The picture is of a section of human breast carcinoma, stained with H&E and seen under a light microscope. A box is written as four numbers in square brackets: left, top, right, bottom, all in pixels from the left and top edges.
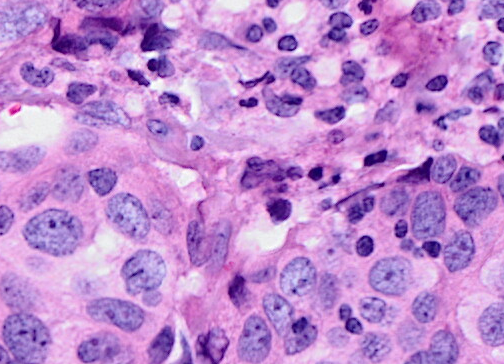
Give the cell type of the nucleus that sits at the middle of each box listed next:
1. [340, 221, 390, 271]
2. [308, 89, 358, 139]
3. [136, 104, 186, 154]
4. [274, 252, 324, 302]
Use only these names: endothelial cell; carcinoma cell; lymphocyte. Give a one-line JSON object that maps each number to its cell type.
{"1": "lymphocyte", "2": "lymphocyte", "3": "endothelial cell", "4": "carcinoma cell"}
